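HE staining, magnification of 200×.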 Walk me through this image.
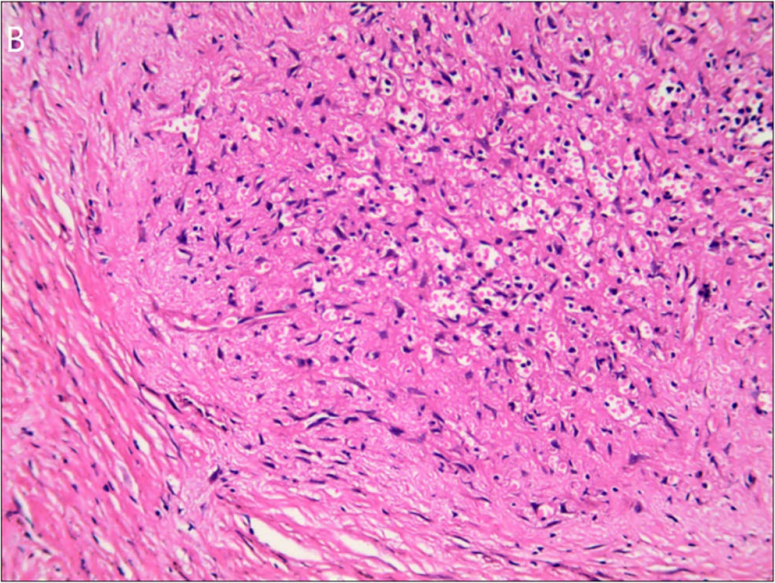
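This is part of an angiomatous nodule made of slit-like vessels or sinusoids, with a band of fibrous tissue at its edge. In the right part of the field many small, narrow spaces lie among plump cells with dark nuclei, and some spaces hold pale round bodies. Toward the left, the cells thin out into pink fibrous stroma in which spindle-shaped and oval nuclei run in long, gently curved parallel lines. The stroma between the cells is pale pink and finely fibrillar.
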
